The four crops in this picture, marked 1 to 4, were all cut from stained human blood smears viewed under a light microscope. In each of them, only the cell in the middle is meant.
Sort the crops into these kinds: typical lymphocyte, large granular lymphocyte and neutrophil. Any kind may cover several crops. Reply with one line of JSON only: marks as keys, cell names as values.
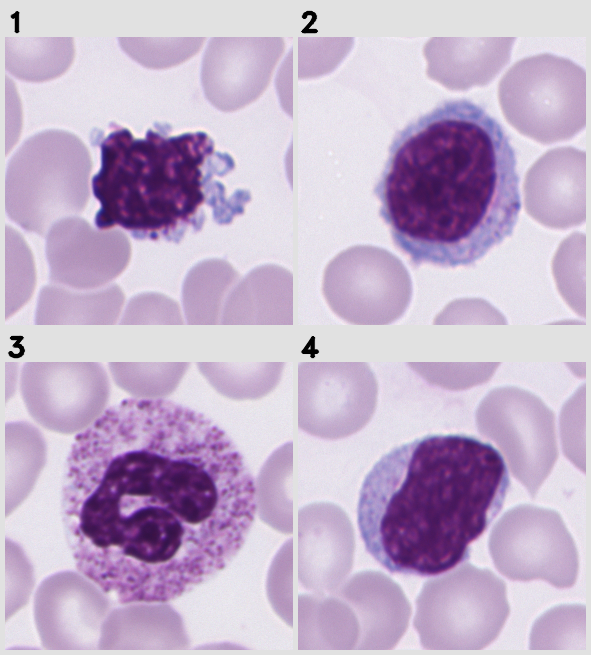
{"1": "typical lymphocyte", "2": "typical lymphocyte", "3": "neutrophil", "4": "typical lymphocyte"}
